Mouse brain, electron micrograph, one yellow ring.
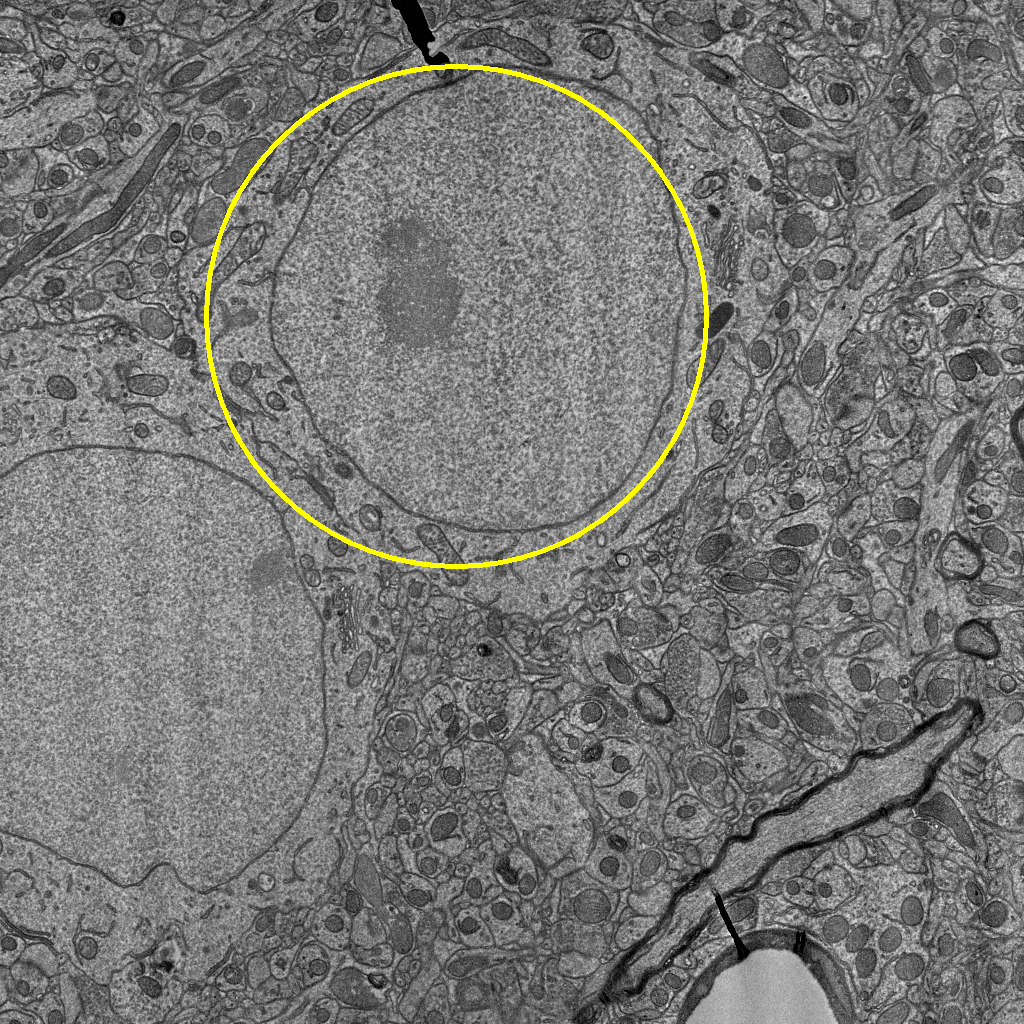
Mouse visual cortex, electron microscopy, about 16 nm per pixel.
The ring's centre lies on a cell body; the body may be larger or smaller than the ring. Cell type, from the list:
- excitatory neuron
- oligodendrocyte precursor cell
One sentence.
The yellow ring's centre lies on an excitatory neuron.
